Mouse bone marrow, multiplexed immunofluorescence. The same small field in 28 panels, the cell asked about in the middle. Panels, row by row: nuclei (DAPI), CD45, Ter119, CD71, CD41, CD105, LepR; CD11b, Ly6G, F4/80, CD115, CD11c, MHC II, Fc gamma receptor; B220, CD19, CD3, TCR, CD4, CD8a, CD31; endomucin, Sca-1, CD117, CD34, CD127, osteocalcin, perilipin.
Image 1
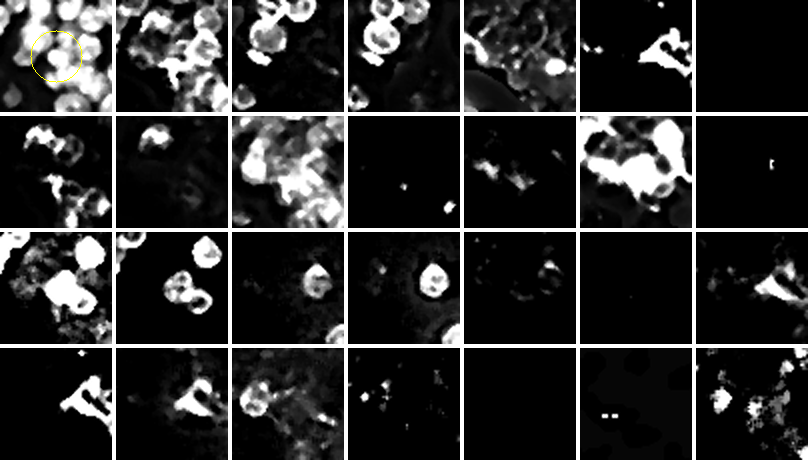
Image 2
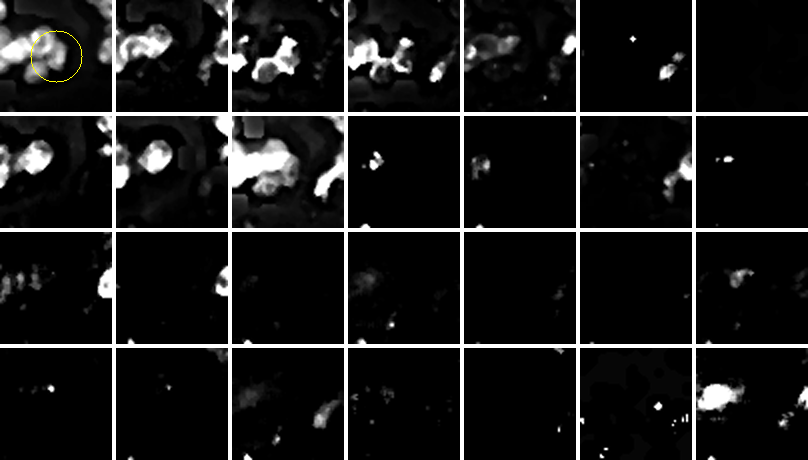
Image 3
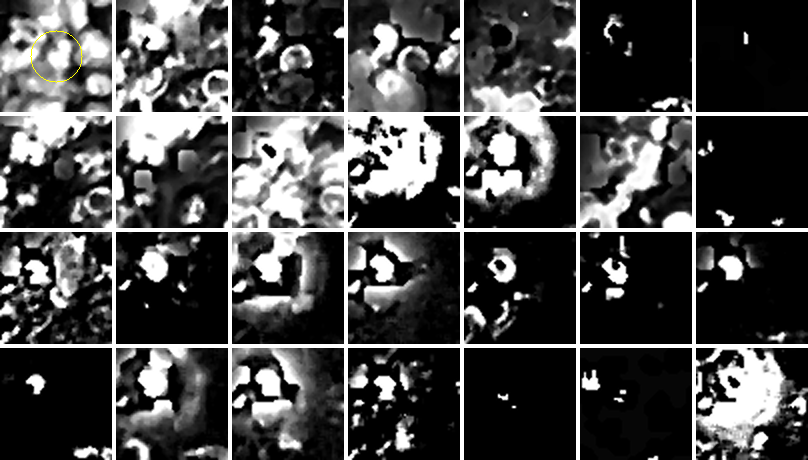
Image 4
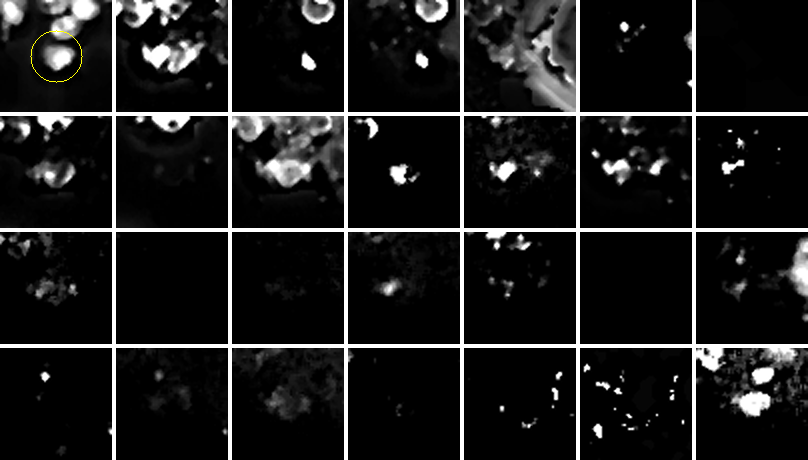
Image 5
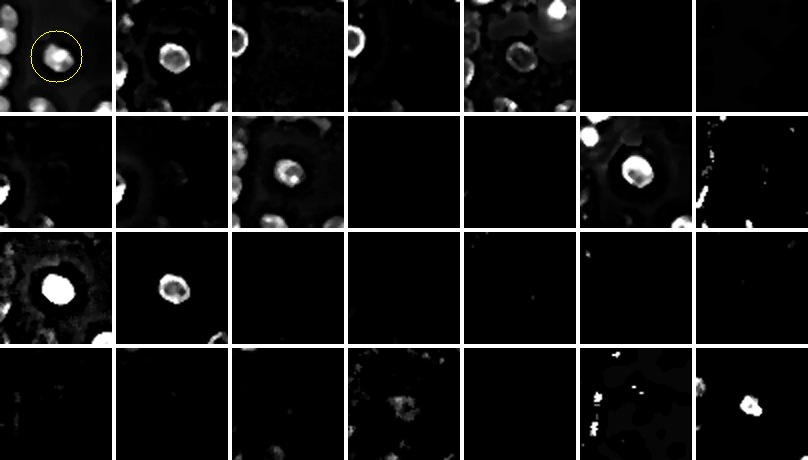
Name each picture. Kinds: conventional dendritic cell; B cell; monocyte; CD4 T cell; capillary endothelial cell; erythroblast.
(1) B cell
(2) erythroblast
(3) conventional dendritic cell
(4) monocyte
(5) B cell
